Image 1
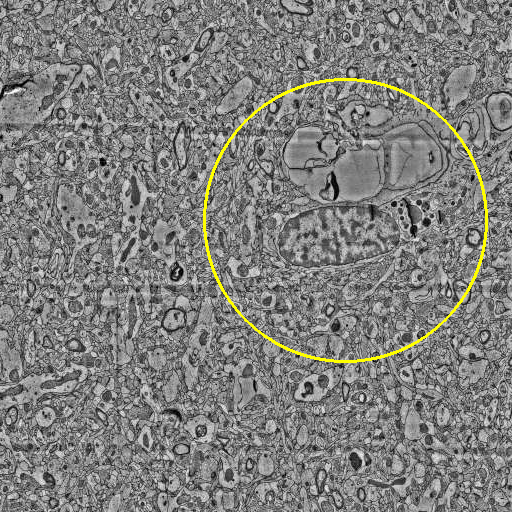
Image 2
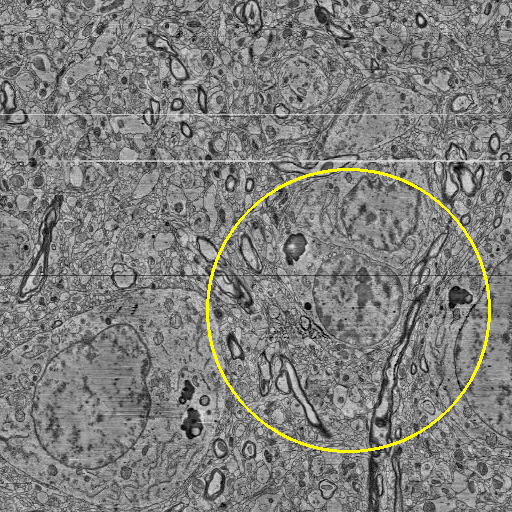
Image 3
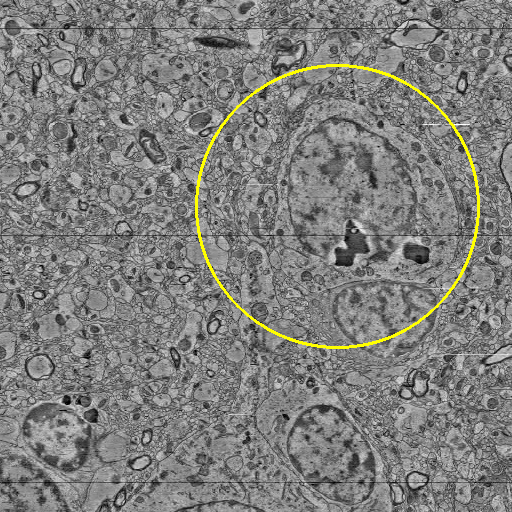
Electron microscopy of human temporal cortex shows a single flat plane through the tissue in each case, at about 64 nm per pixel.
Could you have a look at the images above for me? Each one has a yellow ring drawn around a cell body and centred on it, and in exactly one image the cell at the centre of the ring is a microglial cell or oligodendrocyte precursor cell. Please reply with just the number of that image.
1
